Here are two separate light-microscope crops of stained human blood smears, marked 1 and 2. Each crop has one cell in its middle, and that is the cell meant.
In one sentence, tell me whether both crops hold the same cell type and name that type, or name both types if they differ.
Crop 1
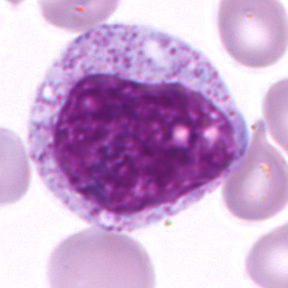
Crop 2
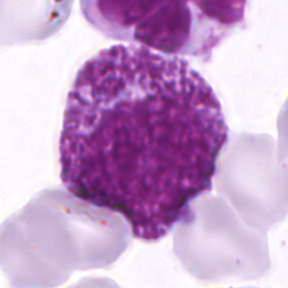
Yes, in the case of both crops, the central cells are myelocytes.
